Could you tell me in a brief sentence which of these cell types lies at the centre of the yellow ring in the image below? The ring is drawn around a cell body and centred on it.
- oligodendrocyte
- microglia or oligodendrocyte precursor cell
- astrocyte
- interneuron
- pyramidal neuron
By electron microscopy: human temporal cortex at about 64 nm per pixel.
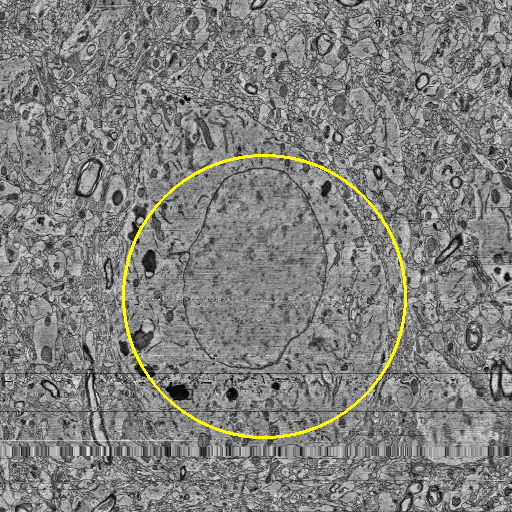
The cell centred in the ring is a pyramidal neuron.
